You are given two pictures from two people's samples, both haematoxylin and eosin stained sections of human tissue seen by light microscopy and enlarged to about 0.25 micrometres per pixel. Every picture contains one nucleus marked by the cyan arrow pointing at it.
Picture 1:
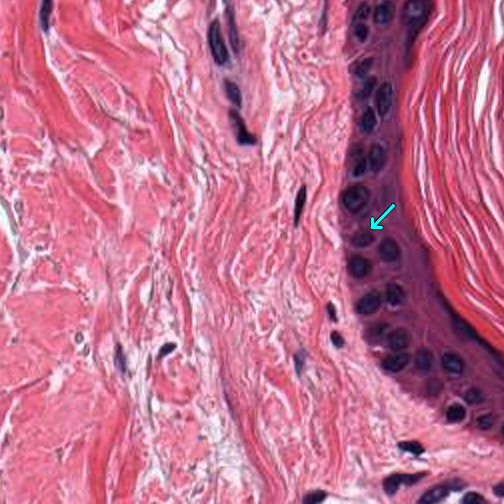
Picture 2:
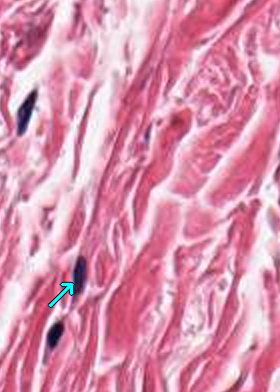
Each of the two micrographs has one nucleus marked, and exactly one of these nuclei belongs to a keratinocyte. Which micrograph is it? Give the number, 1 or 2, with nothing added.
1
